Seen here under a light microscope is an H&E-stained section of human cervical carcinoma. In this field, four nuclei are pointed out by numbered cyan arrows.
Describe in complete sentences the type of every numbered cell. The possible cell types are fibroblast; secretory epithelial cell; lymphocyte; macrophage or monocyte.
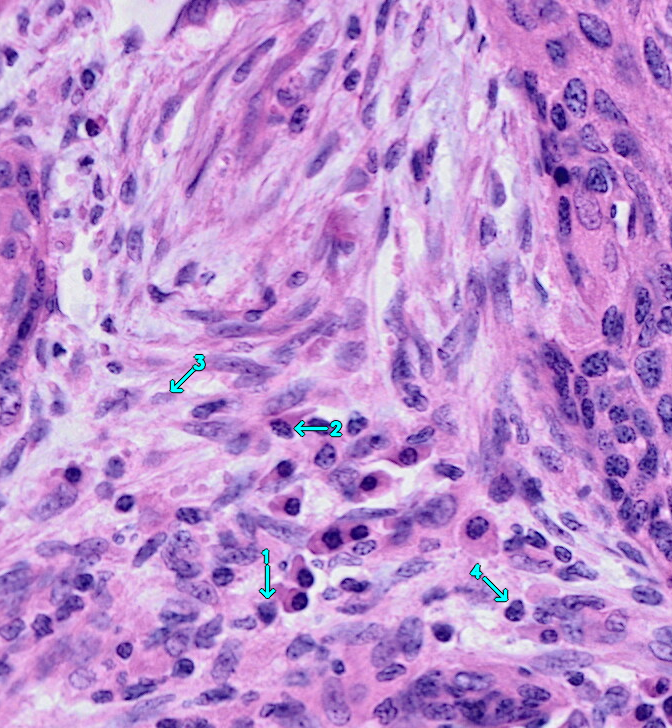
Cells 1, 2 and 4 are lymphocytes. Cell 3 is a fibroblast.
